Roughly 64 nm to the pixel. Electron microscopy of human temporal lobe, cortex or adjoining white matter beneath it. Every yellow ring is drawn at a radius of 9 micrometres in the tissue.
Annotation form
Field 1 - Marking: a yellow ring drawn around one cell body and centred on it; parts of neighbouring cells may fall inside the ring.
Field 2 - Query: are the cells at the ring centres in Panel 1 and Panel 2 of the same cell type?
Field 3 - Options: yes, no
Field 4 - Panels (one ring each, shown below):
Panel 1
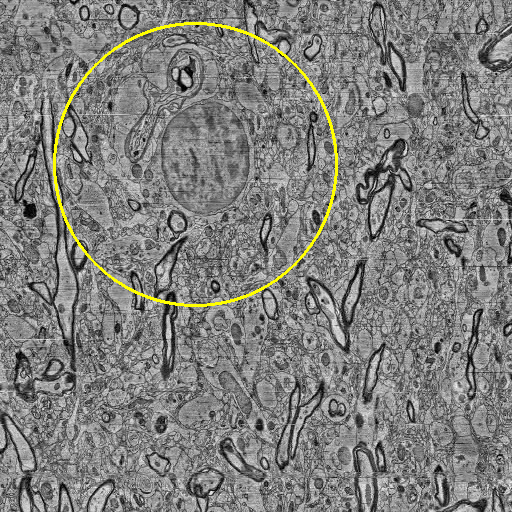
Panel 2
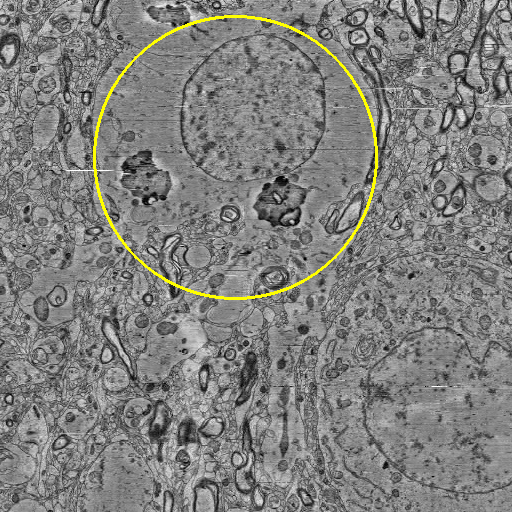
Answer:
no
